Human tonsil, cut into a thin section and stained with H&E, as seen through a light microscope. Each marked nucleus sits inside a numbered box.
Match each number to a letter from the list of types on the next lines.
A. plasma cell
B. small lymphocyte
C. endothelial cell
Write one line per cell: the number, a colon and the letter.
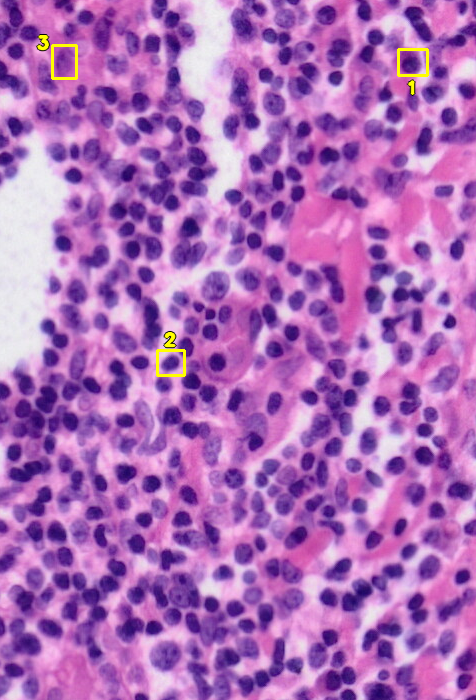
1: A
2: B
3: C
